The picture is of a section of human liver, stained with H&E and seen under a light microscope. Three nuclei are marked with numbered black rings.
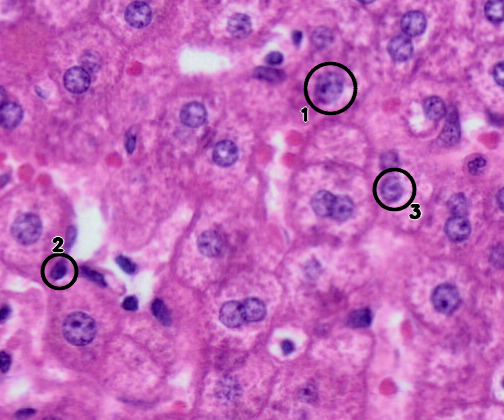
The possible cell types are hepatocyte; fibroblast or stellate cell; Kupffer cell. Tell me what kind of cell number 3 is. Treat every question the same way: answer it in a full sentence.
That cell with number 3 is a hepatocyte.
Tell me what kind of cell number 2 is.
Of the numbered cells, the one labelled 2 is a fibroblast or stellate cell.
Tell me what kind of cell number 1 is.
The mark numbered 1 indicates the nucleus of a hepatocyte.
